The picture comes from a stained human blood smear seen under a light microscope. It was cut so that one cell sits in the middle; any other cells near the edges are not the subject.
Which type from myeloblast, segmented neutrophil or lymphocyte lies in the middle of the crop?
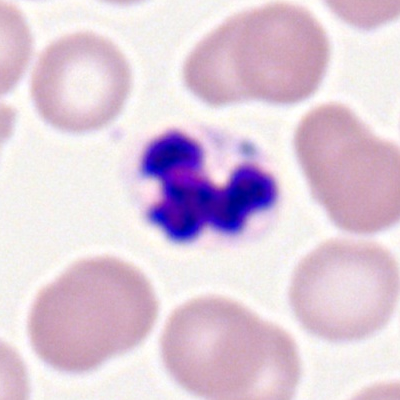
segmented neutrophil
